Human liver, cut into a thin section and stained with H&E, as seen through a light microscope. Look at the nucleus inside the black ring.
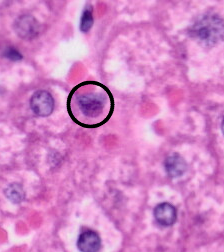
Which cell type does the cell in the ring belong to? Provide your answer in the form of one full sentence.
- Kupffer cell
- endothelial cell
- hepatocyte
As to its cell type, the cell in the ring is an endothelial cell.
